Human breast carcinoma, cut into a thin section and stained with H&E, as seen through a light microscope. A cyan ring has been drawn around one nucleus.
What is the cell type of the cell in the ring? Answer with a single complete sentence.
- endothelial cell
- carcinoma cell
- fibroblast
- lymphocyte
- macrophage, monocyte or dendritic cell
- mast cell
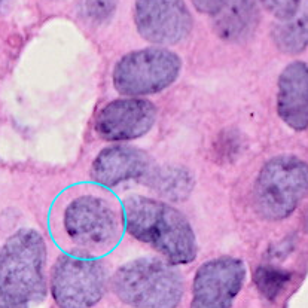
The cell meant here is a carcinoma cell.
